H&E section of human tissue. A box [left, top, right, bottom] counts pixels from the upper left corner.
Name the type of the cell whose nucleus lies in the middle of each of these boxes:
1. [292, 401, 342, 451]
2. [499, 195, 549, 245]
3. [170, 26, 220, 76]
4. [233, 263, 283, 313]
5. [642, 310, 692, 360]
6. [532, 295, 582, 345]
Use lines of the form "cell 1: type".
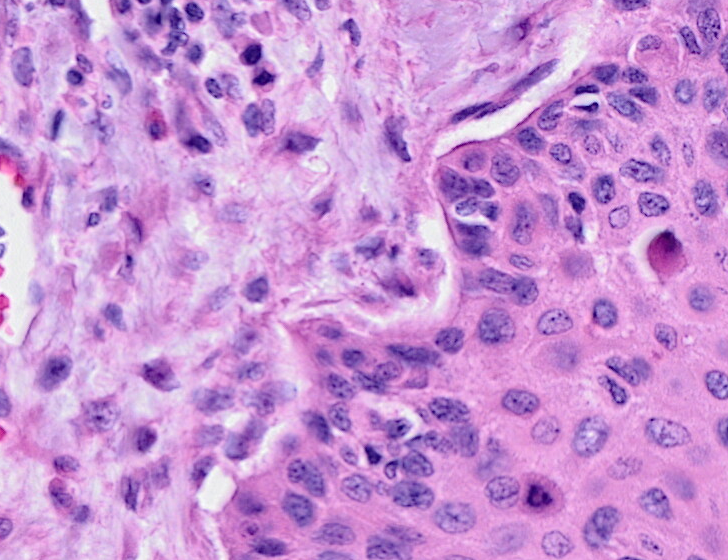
cell 1: squamous carcinoma cell
cell 2: squamous carcinoma cell
cell 3: lymphocyte
cell 4: macrophage or monocyte
cell 5: squamous carcinoma cell
cell 6: squamous carcinoma cell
